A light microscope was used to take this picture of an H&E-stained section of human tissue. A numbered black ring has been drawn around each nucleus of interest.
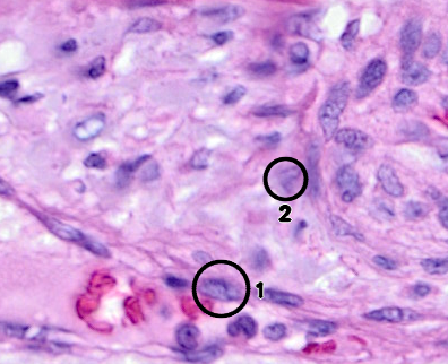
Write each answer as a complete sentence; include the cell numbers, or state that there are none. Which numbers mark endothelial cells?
Unlike the other numbered cells, cell 1 is an endothelial cell.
